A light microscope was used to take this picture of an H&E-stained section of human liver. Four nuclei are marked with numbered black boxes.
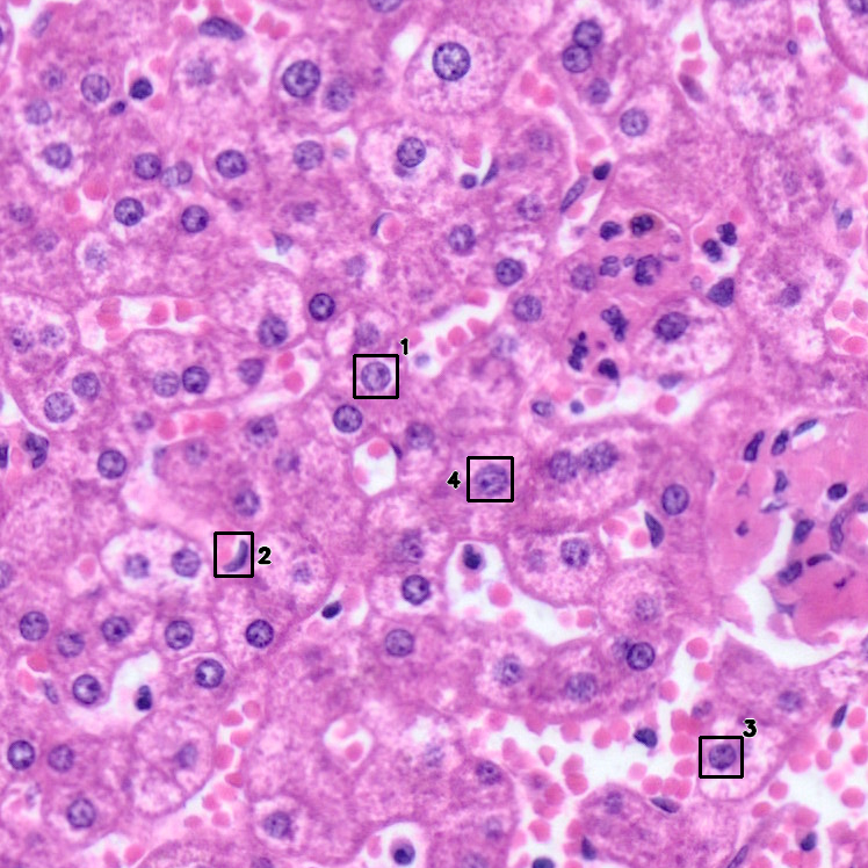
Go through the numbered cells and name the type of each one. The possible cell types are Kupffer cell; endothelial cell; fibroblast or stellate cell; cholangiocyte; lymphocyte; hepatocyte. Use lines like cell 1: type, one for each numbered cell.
cell 1: hepatocyte
cell 2: endothelial cell
cell 3: hepatocyte
cell 4: hepatocyte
